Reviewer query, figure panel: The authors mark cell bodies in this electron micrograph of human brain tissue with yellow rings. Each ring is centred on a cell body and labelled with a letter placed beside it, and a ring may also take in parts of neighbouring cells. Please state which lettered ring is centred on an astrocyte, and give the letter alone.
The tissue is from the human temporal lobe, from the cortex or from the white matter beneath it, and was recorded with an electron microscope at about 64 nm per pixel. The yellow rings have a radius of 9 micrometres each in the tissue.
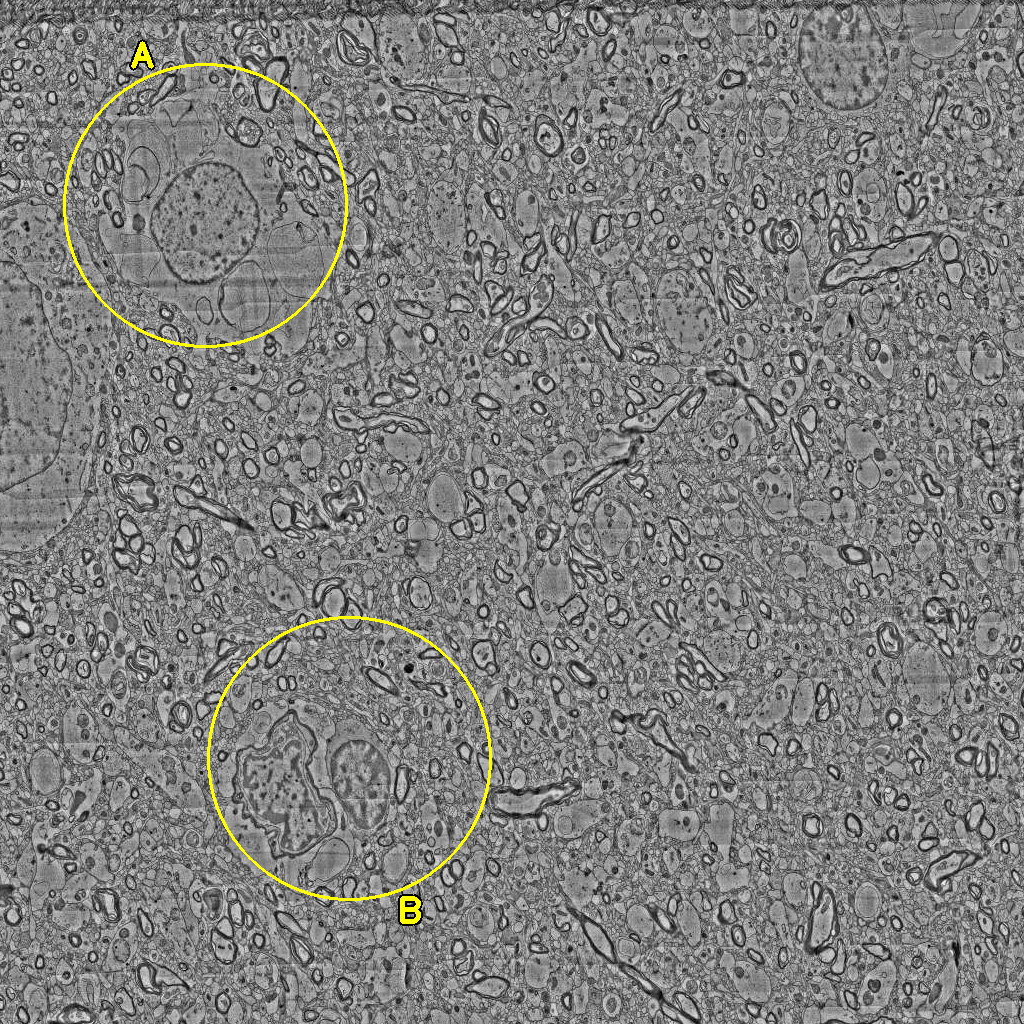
A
